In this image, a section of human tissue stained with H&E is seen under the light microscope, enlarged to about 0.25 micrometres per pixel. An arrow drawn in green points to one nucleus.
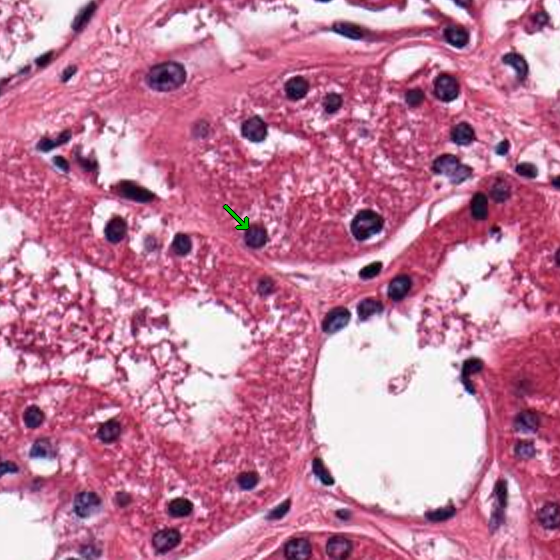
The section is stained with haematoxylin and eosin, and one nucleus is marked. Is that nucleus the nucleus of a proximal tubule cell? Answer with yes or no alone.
yes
